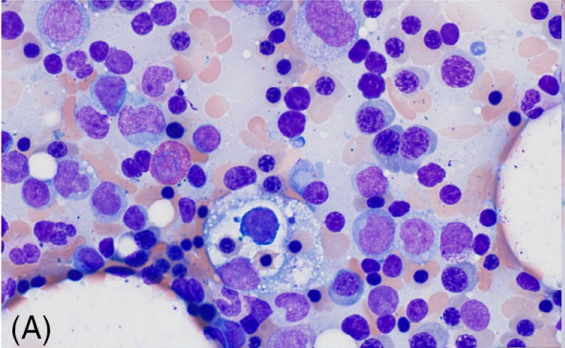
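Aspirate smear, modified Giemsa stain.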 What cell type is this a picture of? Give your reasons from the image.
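Hemophagocytes. A large cell near the lower centre has abundant pale, bubbly vacuolated cytoplasm. Its cytoplasm holds a dark nucleus and other engulfed material. It is far larger than the surrounding marrow cells.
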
